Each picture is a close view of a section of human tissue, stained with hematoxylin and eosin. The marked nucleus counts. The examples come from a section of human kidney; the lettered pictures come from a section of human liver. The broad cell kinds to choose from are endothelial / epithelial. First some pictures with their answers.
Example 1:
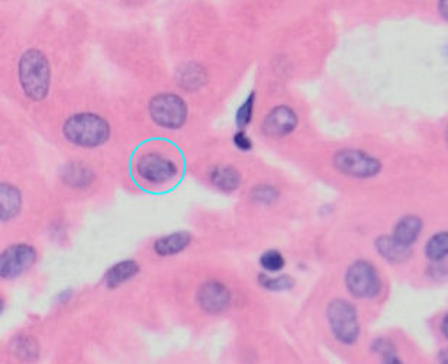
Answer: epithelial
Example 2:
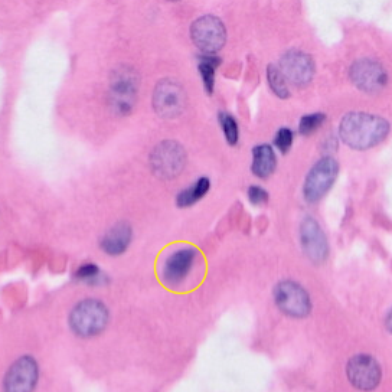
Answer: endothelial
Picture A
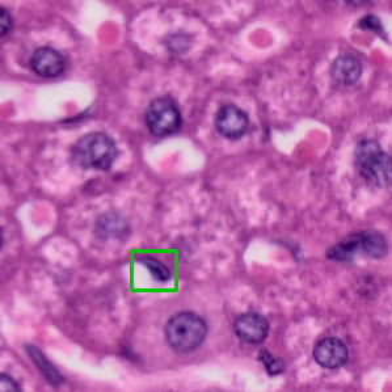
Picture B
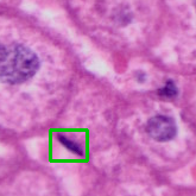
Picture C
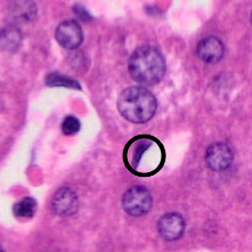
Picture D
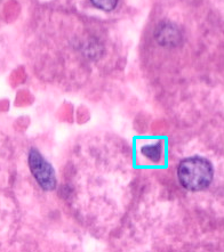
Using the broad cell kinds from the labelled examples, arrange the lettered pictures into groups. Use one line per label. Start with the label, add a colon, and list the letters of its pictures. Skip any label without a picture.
endothelial: A, B, C, D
